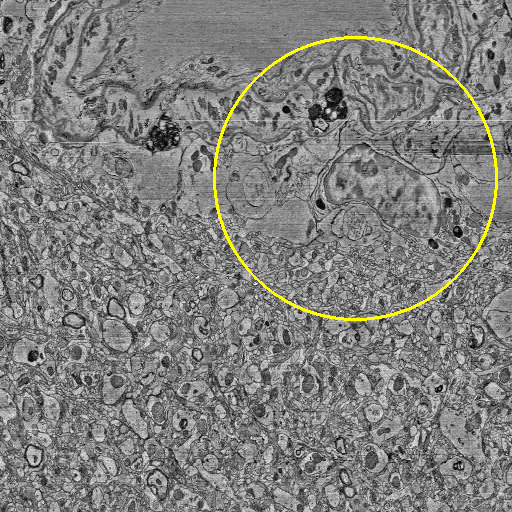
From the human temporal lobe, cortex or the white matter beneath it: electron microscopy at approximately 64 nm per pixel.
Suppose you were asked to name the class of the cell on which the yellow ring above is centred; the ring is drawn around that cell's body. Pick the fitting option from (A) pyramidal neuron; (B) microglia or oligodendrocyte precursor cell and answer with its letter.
B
